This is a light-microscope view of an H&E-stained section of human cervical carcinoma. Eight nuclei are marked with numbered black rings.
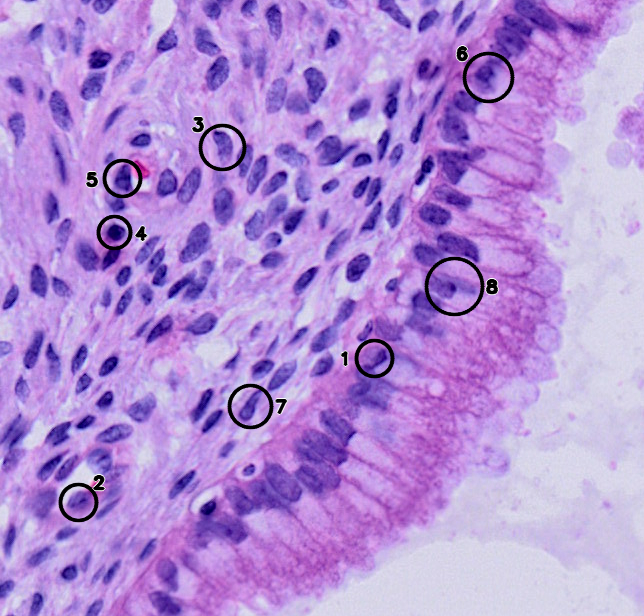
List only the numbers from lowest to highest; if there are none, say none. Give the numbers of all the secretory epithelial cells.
1, 6, 8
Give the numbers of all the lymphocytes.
4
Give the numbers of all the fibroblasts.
3, 7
